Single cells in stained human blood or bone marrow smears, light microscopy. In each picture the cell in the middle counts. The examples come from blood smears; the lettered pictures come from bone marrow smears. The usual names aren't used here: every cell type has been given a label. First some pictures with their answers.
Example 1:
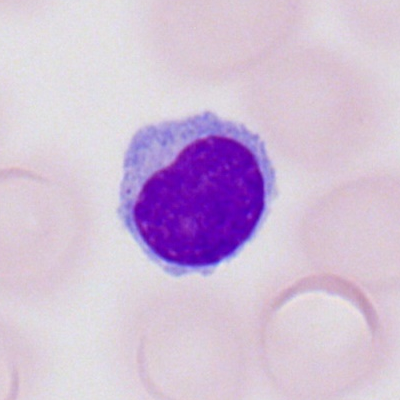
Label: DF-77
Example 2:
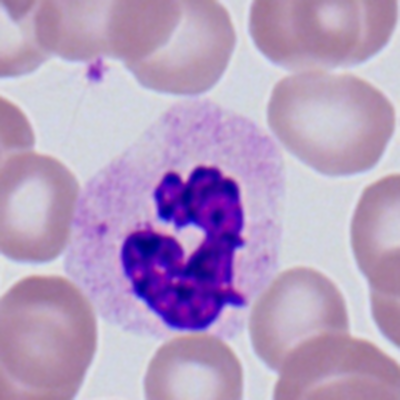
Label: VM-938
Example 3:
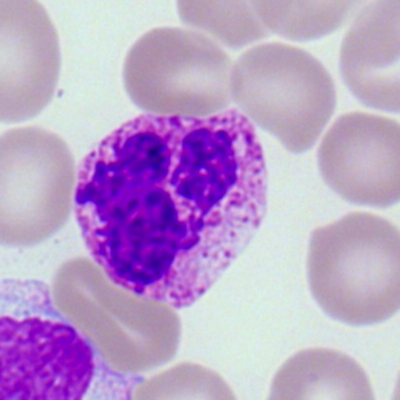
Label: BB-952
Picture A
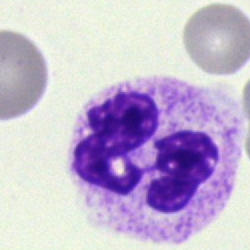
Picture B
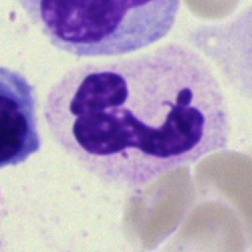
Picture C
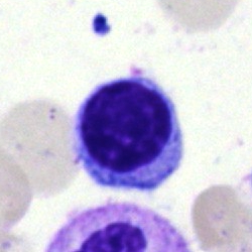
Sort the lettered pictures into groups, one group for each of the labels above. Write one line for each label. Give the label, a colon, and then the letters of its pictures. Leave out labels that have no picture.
DF-77: C
VM-938: A, B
